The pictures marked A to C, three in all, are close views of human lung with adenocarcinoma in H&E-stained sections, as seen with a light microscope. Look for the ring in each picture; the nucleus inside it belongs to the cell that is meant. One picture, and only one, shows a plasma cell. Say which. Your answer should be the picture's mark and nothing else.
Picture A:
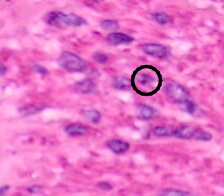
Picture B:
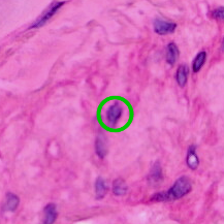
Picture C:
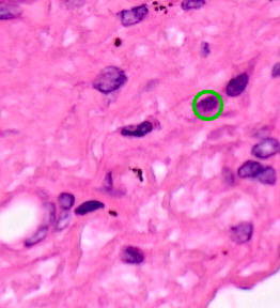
C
